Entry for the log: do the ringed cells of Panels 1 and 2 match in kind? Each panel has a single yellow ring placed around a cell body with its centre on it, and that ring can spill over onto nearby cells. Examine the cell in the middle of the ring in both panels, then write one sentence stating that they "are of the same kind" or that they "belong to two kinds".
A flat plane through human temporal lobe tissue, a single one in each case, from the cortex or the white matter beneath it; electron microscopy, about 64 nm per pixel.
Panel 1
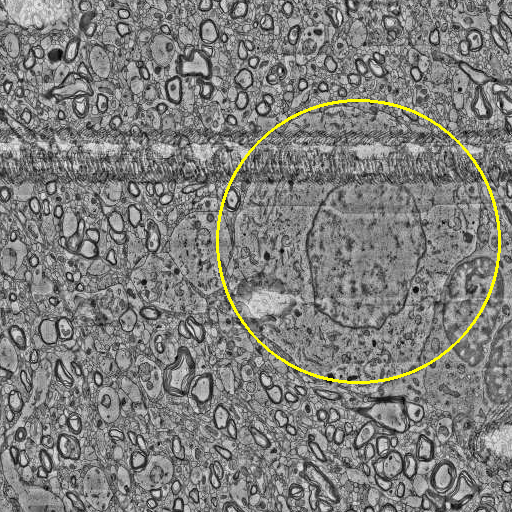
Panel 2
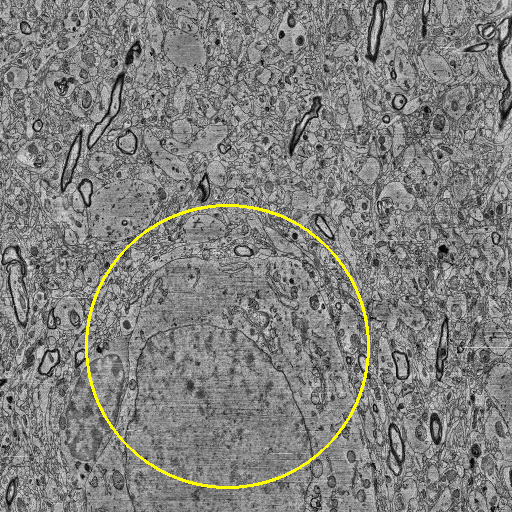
The centre cell of Panel 1's ring and that of Panel 2's ring are of the same kind.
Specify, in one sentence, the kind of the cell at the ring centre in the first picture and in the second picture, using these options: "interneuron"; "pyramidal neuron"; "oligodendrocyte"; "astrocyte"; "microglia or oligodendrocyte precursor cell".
Both pictures show a pyramidal neuron at the centre of the ring.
